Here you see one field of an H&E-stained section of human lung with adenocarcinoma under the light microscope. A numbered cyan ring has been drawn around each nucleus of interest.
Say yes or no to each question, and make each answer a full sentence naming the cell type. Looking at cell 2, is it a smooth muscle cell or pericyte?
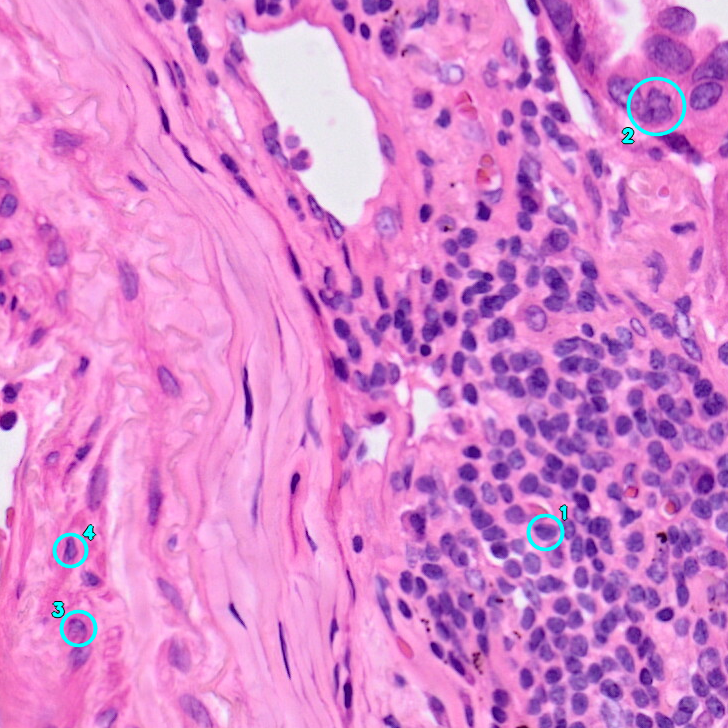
No, in terms of cell type, cell 2 is a carcinoma cell, not a smooth muscle cell or pericyte.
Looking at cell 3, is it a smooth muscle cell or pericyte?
Yes, the cell with the mark numbered 3 is a smooth muscle cell or pericyte.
